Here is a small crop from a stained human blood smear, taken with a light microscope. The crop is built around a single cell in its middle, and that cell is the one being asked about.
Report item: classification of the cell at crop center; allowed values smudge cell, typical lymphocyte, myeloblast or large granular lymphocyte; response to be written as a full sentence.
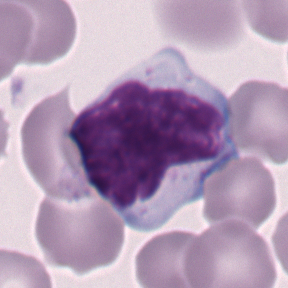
The identification for the central cell is a large granular lymphocyte.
